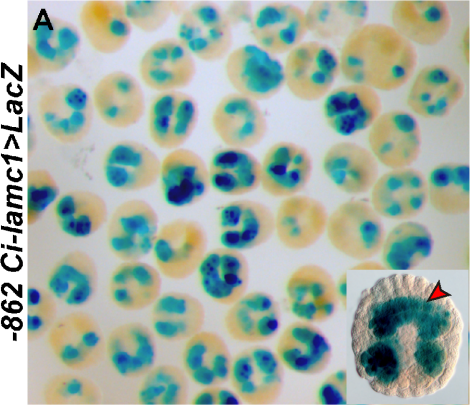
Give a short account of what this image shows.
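In many embryos the blue is arranged as an arc or horseshoe of cells, with darker clusters at its ends. The inset at the lower right shows one embryo at higher magnification, where a blue arc of cells runs across the upper part of the embryo, marked by a red arrowhead, and two dark blue lobes lie below. A few embryos show little or no staining.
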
